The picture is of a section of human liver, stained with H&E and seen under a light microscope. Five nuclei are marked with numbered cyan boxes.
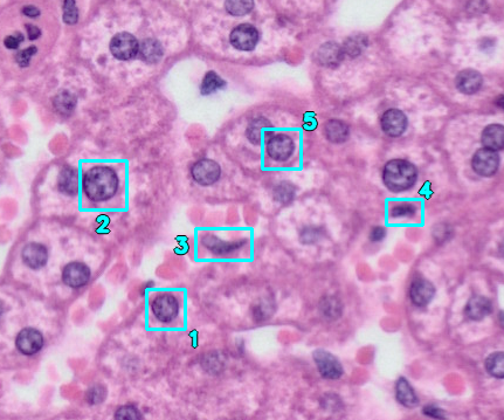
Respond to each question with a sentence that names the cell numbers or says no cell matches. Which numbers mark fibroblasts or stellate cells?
Only cell 4 qualifies as a fibroblast or stellate cell among the numbered cells.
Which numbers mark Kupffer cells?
Among the numbered nuclei, only the one labelled 3 belongs to a Kupffer cell.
